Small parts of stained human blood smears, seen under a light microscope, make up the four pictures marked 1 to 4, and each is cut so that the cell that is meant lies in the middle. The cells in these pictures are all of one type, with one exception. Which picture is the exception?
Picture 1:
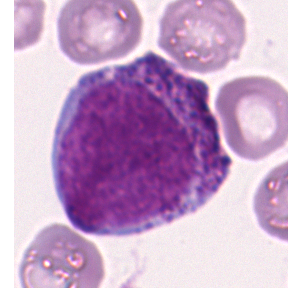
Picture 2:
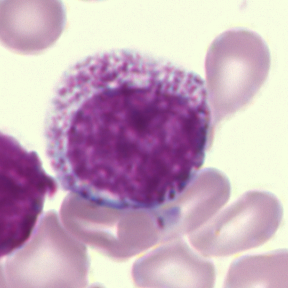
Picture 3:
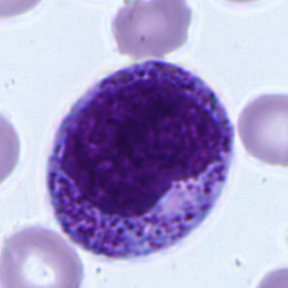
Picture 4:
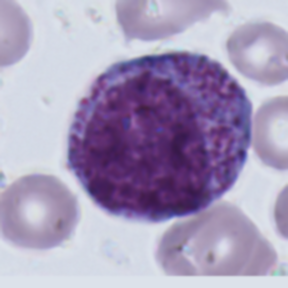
2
